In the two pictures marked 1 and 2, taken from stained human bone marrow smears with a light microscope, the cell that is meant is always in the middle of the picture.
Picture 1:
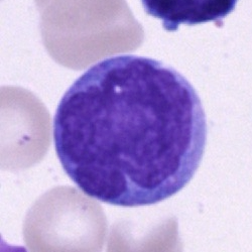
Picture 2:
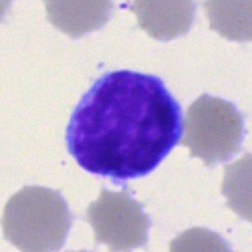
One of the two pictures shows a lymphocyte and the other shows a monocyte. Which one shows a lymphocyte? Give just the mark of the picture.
2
